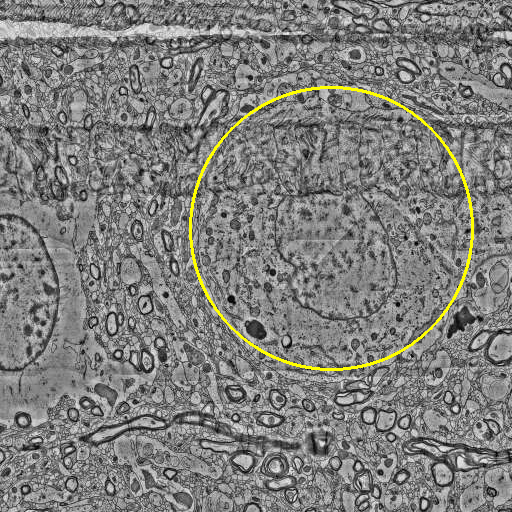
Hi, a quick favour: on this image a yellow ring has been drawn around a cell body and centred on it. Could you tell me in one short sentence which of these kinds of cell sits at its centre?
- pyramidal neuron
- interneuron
The ring is centred on a pyramidal neuron.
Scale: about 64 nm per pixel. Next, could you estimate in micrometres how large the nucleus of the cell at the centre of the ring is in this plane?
The nucleus measures about 9 by 8 micrometres in this plane.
